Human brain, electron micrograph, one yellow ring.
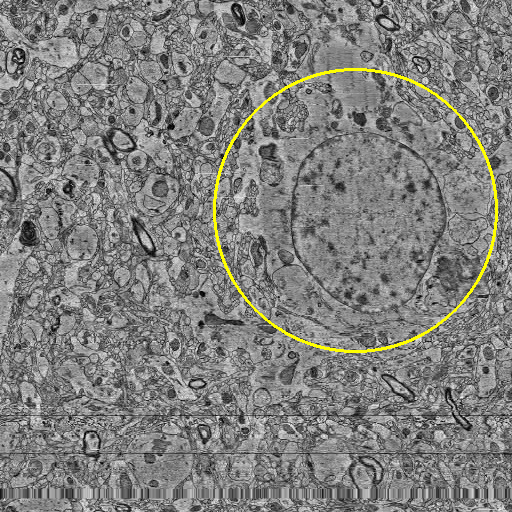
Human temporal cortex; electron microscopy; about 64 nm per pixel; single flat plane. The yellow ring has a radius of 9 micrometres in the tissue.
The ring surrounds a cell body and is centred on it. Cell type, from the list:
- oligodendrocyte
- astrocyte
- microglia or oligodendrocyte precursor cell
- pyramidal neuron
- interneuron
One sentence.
The yellow ring circles an astrocyte.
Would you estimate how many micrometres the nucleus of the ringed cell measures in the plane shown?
The nucleus comes to roughly 12 by 10 micrometres in this plane.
